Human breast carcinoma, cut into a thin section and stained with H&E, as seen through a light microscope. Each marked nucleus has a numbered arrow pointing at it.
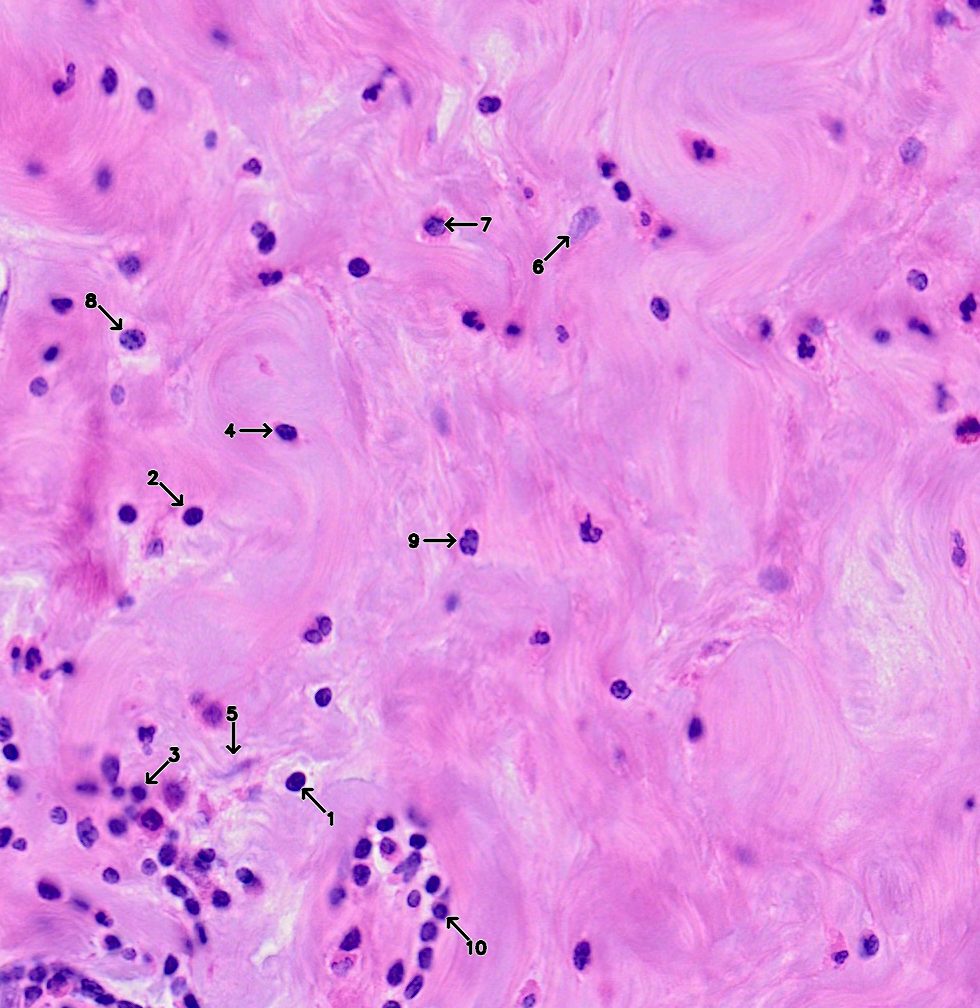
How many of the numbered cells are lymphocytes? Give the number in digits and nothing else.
6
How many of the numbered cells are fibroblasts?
2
